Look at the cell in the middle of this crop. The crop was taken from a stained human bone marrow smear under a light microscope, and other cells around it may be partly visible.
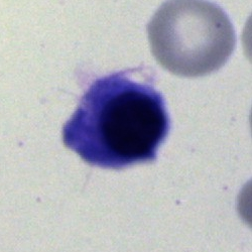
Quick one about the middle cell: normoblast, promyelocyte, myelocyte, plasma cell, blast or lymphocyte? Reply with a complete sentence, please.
Classified as a normoblast is the cell in the middle of this crop.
